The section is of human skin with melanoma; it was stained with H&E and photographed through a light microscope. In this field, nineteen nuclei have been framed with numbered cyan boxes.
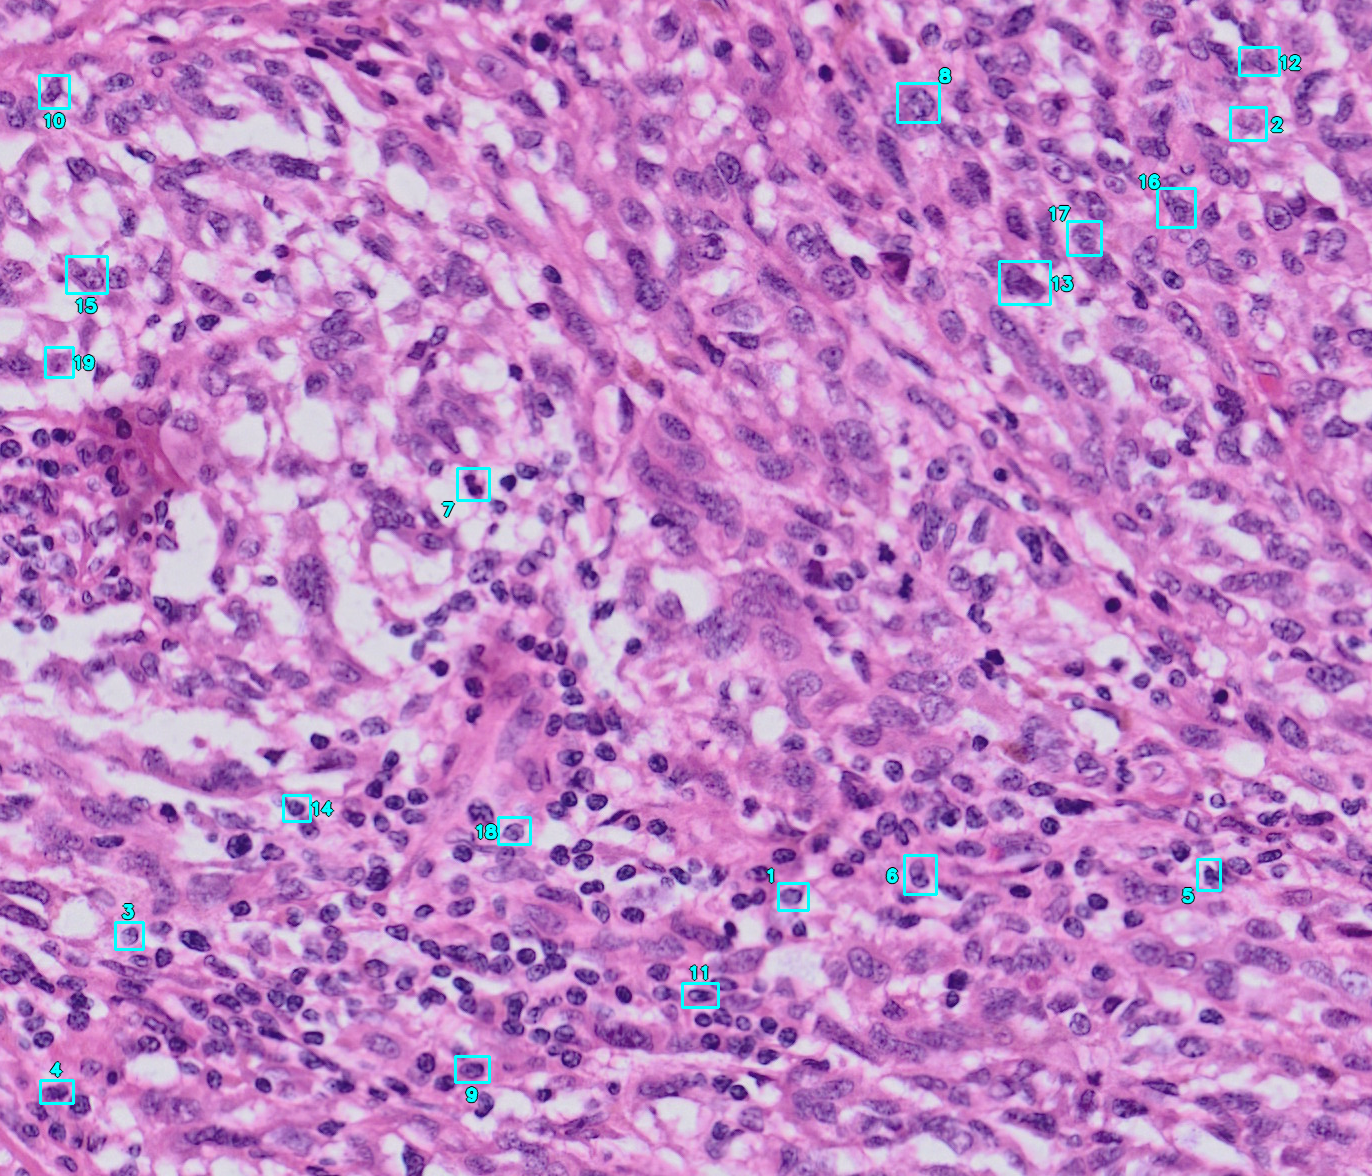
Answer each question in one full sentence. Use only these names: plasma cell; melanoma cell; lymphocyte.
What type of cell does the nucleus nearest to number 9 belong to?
It is a plasma cell whose nucleus is nearest to number 9.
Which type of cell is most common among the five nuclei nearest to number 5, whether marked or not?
Most of the five nuclei nearest to number 5 are those of lymphocytes.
